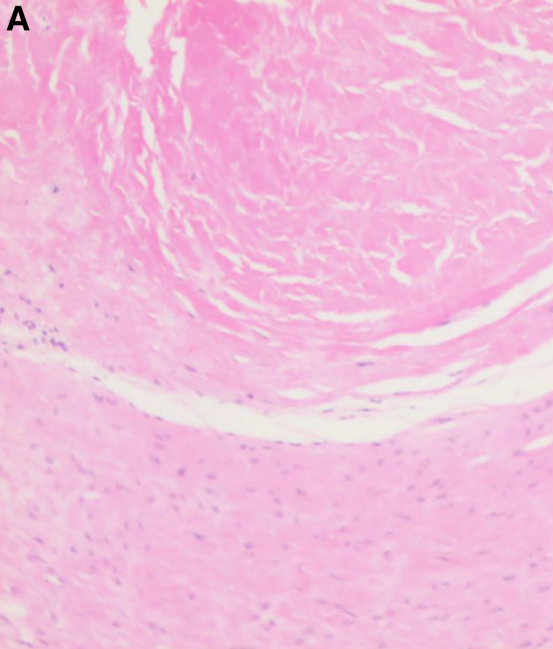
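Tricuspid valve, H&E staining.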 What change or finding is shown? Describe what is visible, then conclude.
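Broad sheets of dense pink fibrous tissue fill the panel. Few scattered, thin, elongated nuclei. Upper part is glassy, homogeneous and pale pink with almost no nuclei.
Conclusion: fibrous tissue hyperplasia with hyalinosis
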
